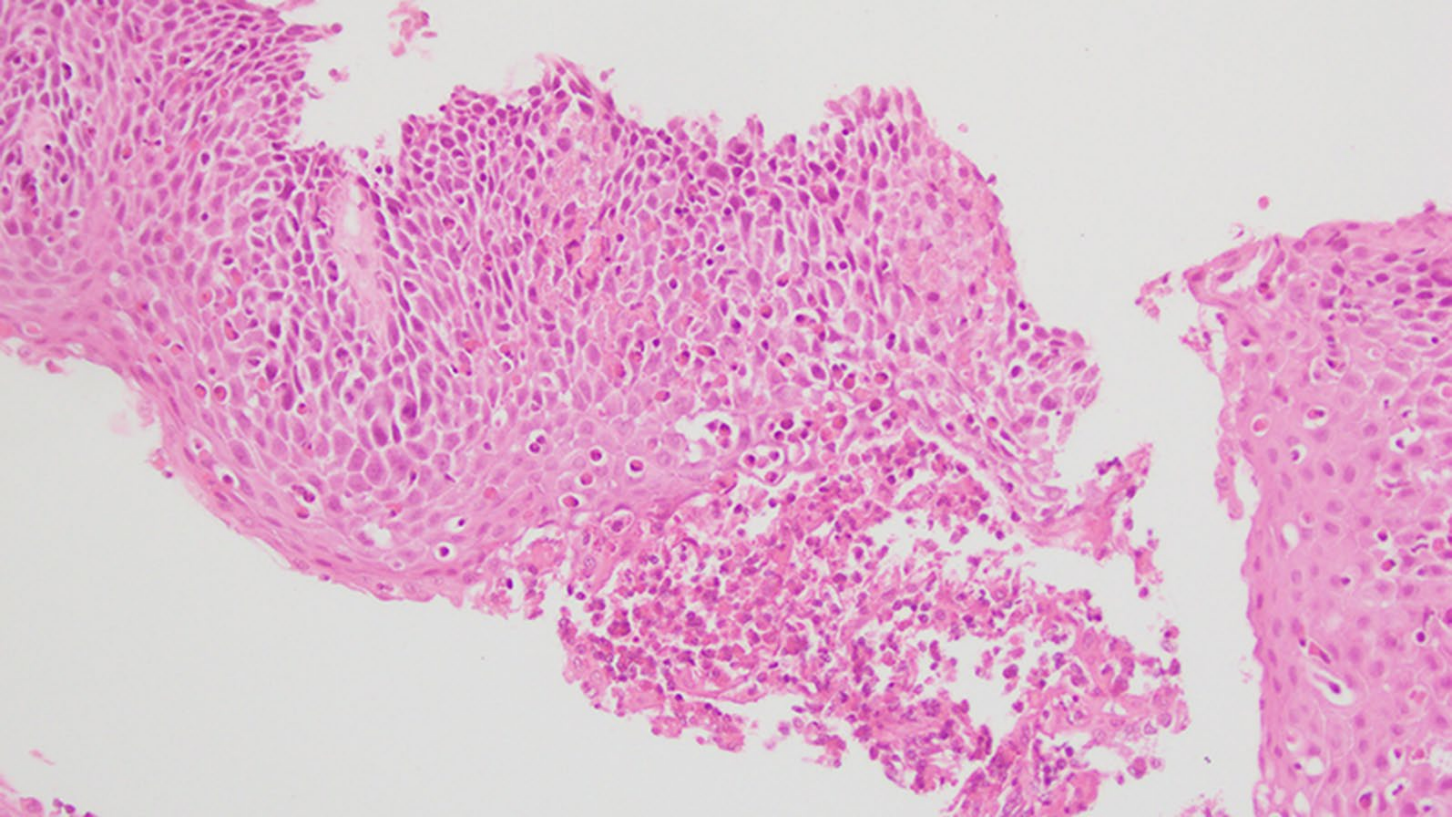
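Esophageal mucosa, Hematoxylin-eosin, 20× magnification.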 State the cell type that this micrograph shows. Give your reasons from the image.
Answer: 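Many cells with bright pink-red granular cytoplasm are scattered among the squamous epithelial cells. Several of these cells have small, dark, lobed nuclei.
Answer: eosinophils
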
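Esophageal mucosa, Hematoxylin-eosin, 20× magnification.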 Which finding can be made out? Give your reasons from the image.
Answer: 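Microabscesses. Near the lower middle, a dense cluster of small inflammatory cells with dark nuclei and pink cytoplasm lies packed together. In that cluster the epithelial cells are largely replaced by the inflammatory cells.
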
